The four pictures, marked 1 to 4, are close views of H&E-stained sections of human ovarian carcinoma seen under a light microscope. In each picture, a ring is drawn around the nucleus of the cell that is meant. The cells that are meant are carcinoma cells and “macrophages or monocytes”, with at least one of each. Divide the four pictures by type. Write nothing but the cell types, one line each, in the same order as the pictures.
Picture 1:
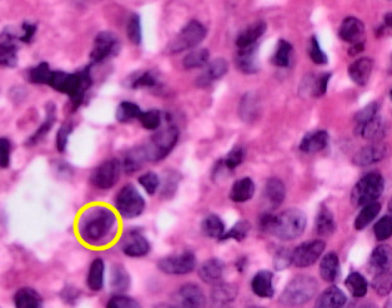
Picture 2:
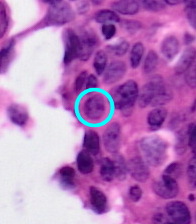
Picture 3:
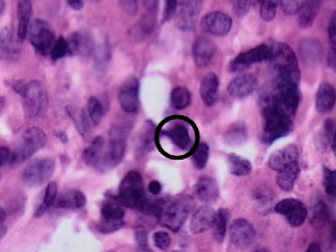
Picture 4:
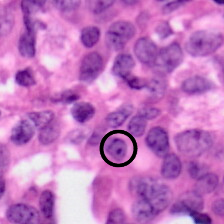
carcinoma cell
carcinoma cell
carcinoma cell
macrophage or monocyte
